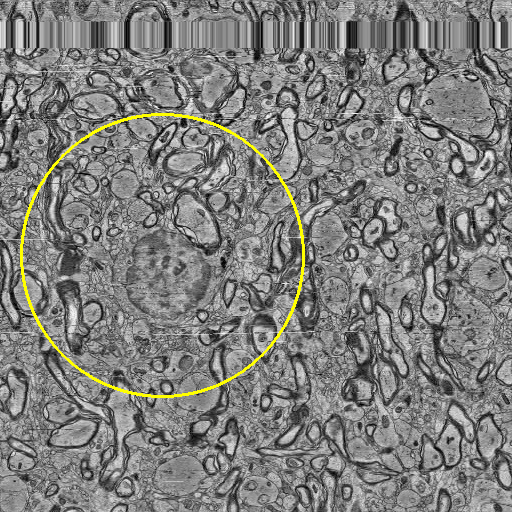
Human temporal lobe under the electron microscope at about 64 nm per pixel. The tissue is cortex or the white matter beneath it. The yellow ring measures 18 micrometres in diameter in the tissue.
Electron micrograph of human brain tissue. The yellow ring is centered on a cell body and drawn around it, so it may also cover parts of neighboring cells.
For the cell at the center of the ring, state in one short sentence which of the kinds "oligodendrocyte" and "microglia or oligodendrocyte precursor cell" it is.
This ring is centered on an oligodendrocyte.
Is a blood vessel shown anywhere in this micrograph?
No, no vessel appears in the picture.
